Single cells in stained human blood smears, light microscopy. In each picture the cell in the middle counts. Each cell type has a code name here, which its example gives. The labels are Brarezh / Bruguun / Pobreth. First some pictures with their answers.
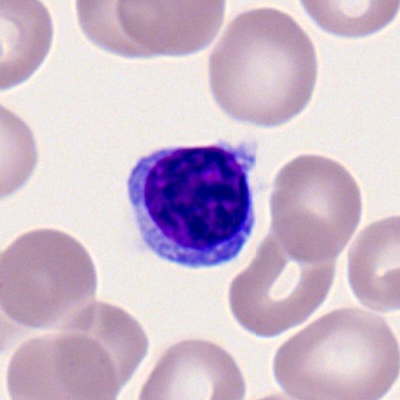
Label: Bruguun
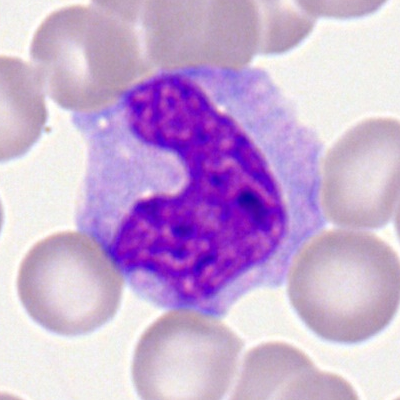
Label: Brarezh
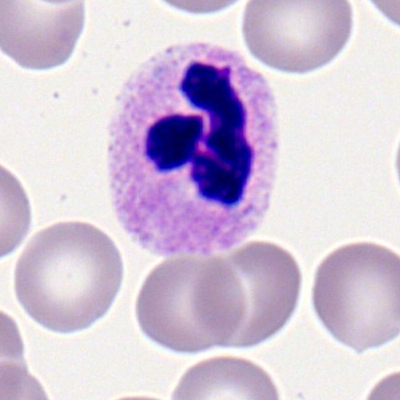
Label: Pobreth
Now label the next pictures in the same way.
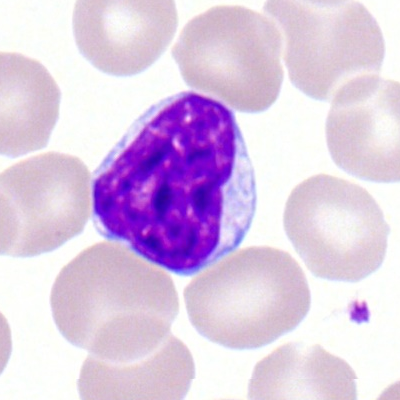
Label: Bruguun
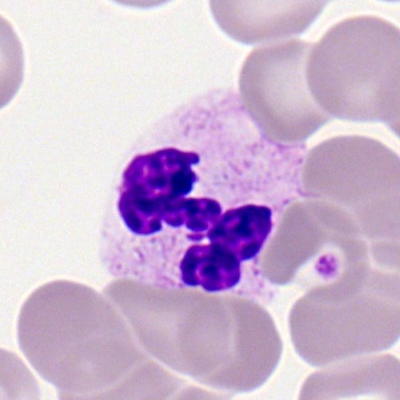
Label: Pobreth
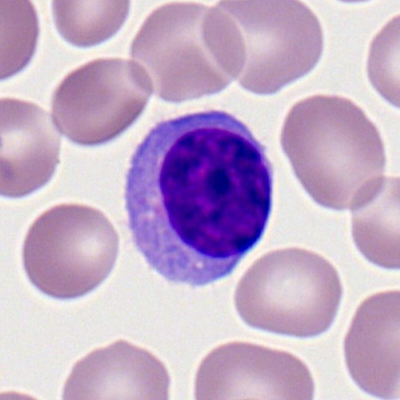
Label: Bruguun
